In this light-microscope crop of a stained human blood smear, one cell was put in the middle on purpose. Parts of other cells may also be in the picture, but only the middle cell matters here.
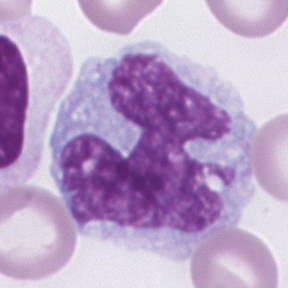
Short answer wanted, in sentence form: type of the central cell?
In this crop, the cell at the very middle is a monocyte.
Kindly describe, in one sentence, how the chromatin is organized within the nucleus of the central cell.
What stands out is fine chromatin lacking any coarse clumps.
